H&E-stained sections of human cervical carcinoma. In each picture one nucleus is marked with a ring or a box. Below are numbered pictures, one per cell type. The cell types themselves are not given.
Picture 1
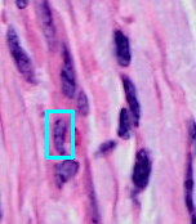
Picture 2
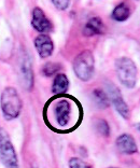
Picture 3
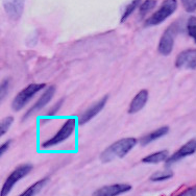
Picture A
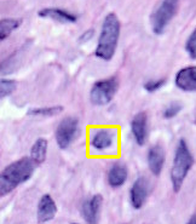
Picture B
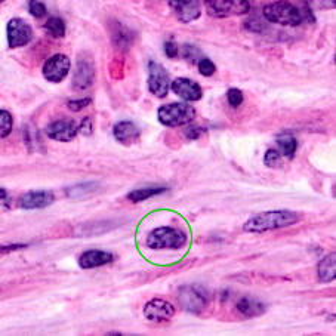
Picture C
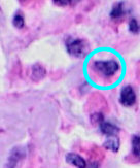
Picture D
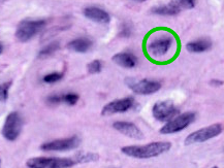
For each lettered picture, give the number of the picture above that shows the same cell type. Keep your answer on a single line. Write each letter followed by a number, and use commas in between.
A 3, B 2, C 2, D 3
